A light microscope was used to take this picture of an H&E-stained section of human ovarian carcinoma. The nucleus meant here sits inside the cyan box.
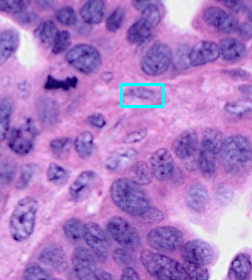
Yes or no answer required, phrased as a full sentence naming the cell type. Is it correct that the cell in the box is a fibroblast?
Yes, with respect to cell type, the cell in the box is a fibroblast.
